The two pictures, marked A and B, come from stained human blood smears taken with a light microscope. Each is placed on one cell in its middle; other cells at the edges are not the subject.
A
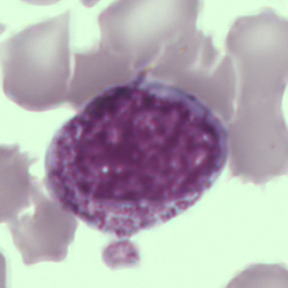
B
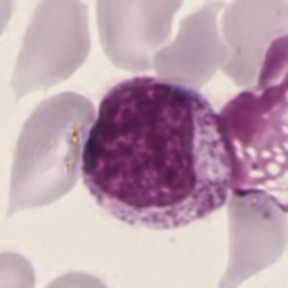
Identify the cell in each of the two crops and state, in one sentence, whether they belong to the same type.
Yes, in both crops, myelocytes are the cells at the middle.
